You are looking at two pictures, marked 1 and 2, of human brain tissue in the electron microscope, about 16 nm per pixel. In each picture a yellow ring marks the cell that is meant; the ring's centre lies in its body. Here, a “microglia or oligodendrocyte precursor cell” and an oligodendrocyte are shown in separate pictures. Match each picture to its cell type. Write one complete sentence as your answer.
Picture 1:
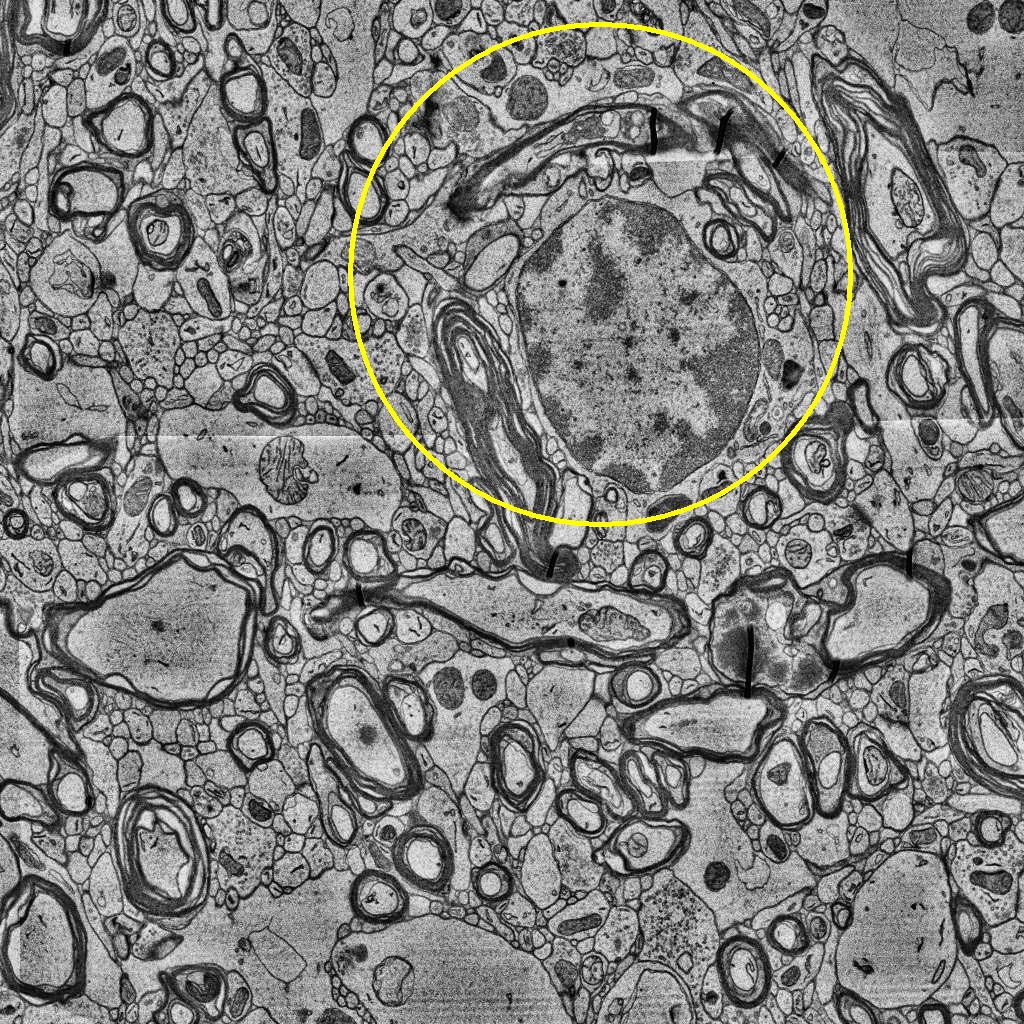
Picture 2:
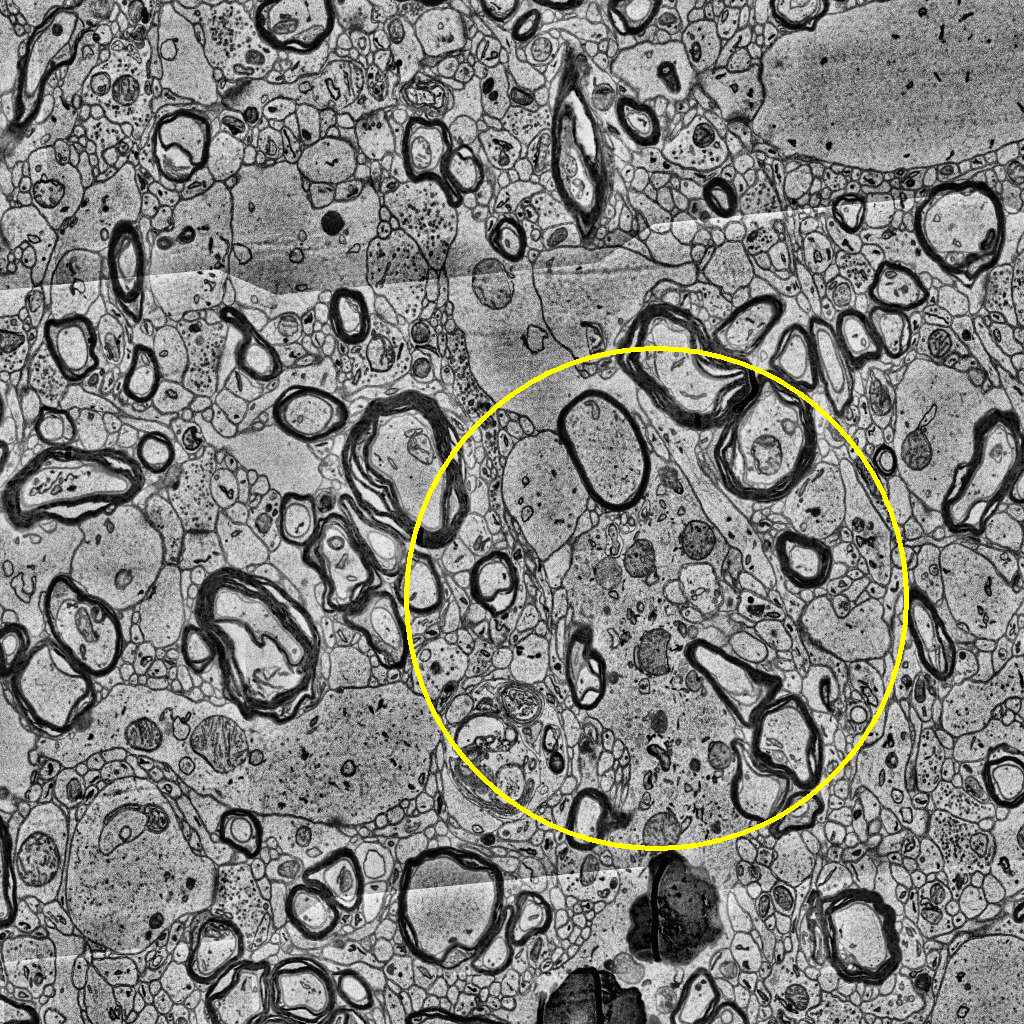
It is picture 1 that shows a “microglia or oligodendrocyte precursor cell”, and picture 2 that shows an oligodendrocyte.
